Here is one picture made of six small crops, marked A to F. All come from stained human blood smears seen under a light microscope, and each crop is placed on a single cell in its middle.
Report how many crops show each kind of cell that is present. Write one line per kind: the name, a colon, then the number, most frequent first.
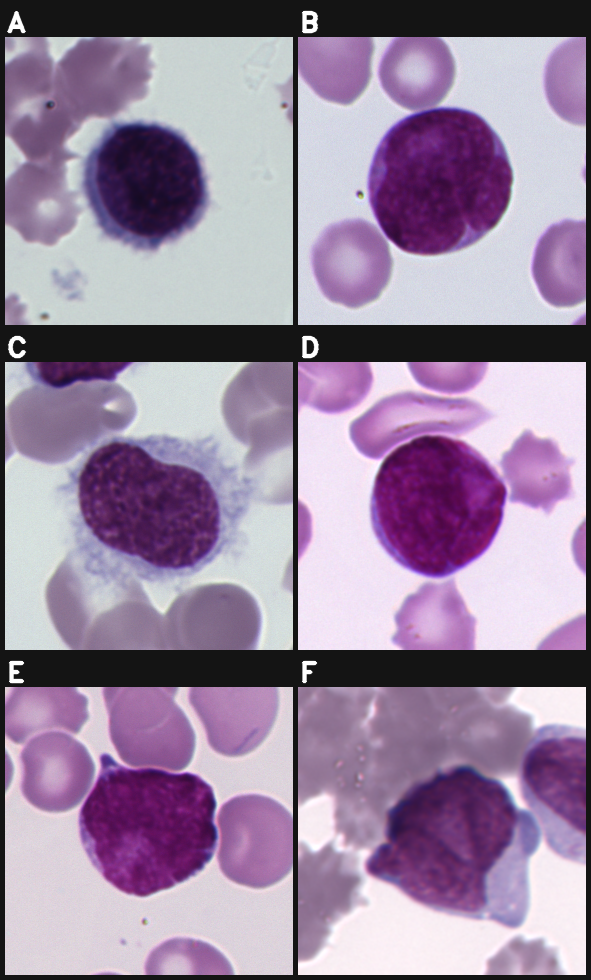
myeloblast: 4
hairy cell: 2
